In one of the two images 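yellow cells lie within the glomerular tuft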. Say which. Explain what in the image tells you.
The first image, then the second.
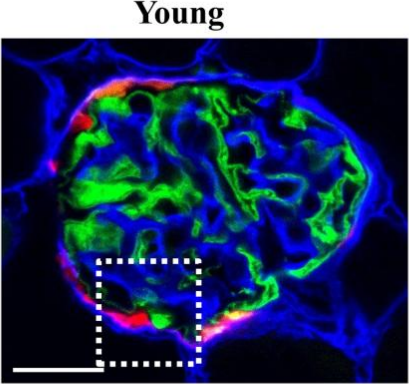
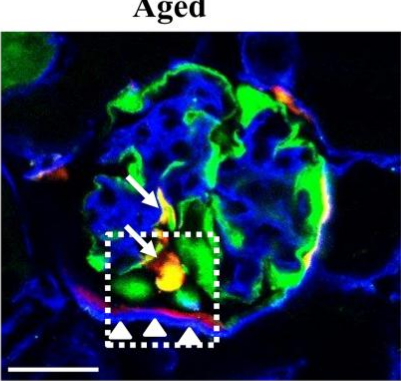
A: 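The second image. Second image: bright yellow cells sit inside the capillary loops of the glomerulus. First image: red appears only as a thin layer along the outer boundary, with no yellow cells within the tuft.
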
